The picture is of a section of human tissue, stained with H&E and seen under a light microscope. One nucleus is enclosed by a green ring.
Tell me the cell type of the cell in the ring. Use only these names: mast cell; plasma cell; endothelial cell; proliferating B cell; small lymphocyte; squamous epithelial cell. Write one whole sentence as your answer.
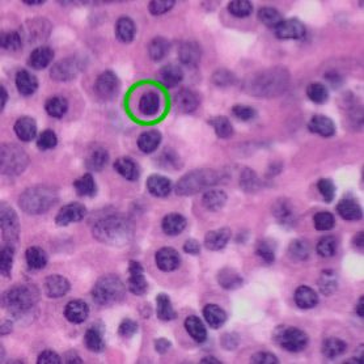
For the purposes of cell typing, the cell in the ring is categorized as a plasma cell.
